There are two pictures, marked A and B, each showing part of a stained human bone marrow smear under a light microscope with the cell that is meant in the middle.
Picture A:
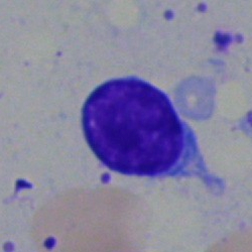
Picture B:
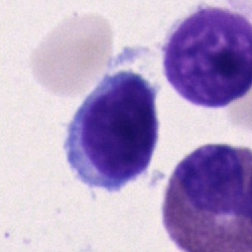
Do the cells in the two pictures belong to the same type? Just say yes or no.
yes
